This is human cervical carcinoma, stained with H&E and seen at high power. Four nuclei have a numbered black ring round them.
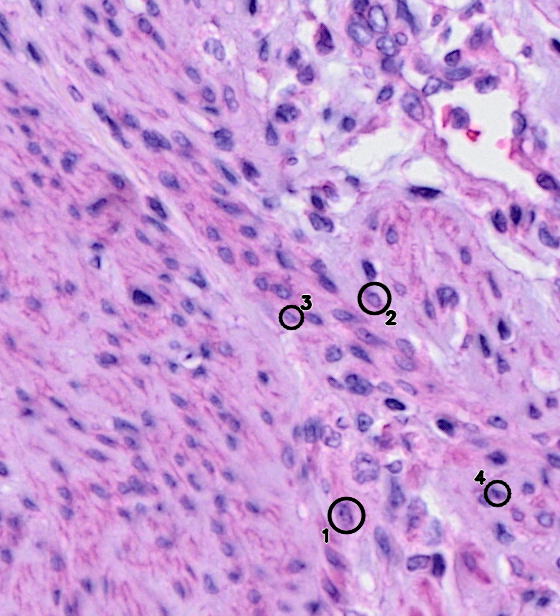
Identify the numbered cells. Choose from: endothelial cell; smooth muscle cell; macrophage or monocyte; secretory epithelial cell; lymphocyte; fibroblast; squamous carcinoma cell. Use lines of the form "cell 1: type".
cell 1: smooth muscle cell
cell 2: smooth muscle cell
cell 3: smooth muscle cell
cell 4: fibroblast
